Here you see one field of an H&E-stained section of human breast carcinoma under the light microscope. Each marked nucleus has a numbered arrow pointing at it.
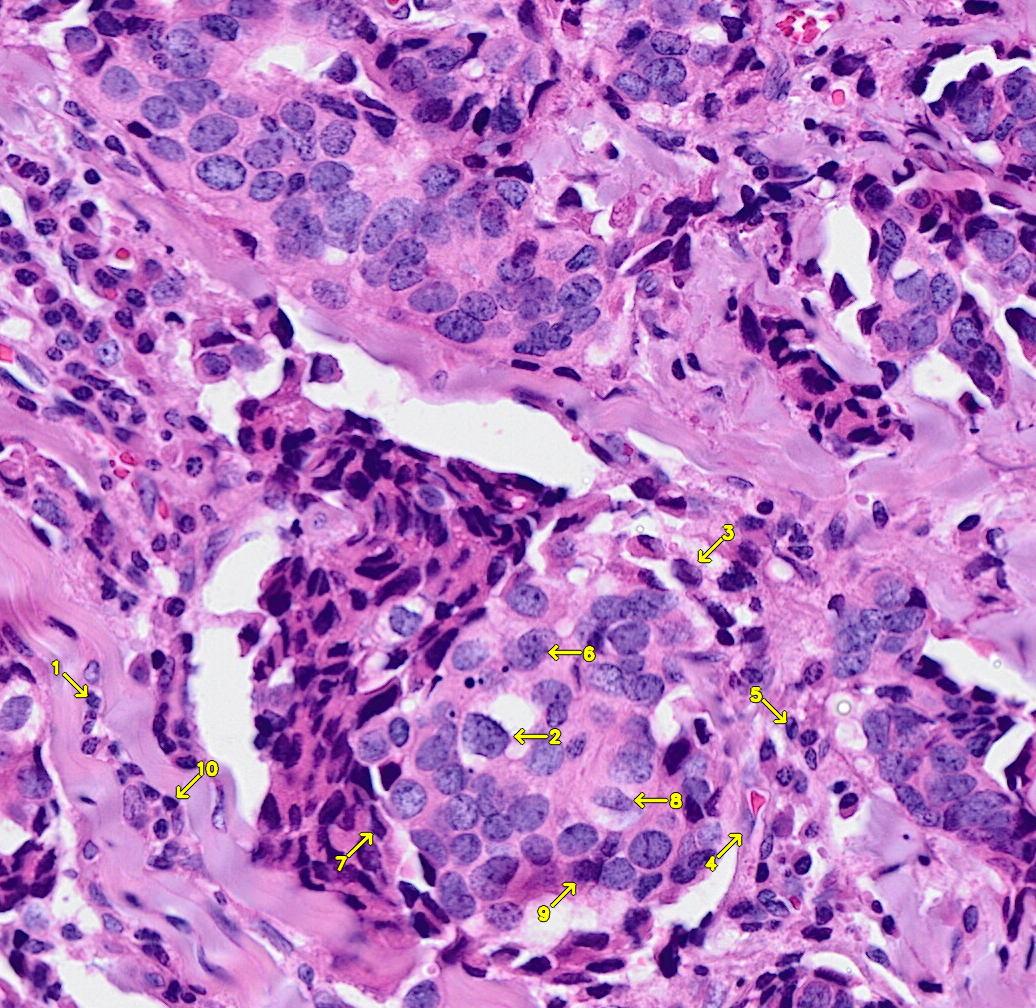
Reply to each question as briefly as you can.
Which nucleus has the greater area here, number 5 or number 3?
3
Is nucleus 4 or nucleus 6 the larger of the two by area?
6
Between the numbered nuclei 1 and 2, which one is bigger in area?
2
